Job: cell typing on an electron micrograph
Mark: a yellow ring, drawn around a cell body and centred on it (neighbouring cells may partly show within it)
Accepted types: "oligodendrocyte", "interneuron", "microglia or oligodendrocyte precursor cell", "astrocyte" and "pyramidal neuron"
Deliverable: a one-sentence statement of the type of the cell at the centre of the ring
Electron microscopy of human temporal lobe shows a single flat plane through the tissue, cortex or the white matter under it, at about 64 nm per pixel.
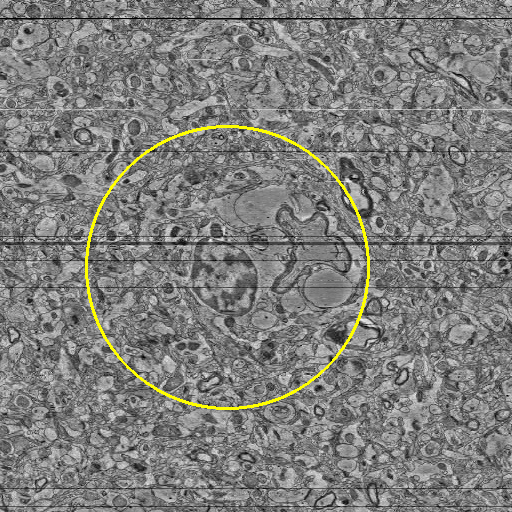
The centred cell body is that of a microglial cell or oligodendrocyte precursor cell.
